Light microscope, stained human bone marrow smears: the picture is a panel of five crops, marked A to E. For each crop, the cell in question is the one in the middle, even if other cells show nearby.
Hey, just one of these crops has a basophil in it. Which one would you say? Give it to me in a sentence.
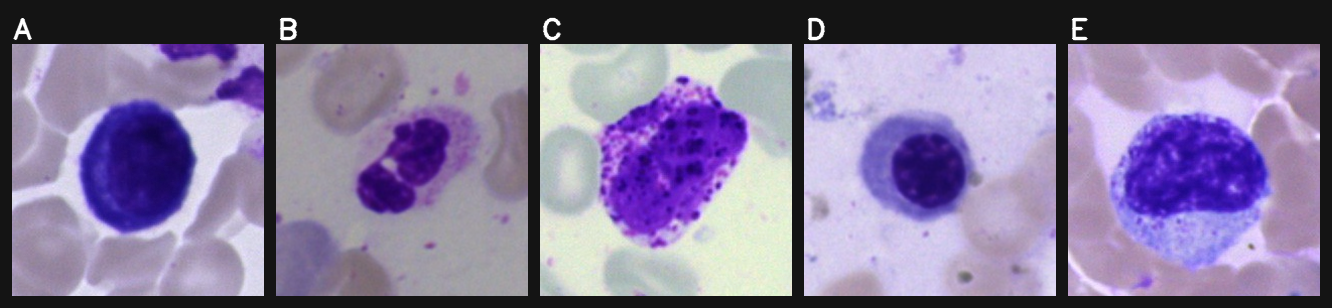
The crop in which a basophil is shown is crop C.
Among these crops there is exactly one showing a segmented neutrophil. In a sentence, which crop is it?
The crop with a segmented neutrophil in it is crop B.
